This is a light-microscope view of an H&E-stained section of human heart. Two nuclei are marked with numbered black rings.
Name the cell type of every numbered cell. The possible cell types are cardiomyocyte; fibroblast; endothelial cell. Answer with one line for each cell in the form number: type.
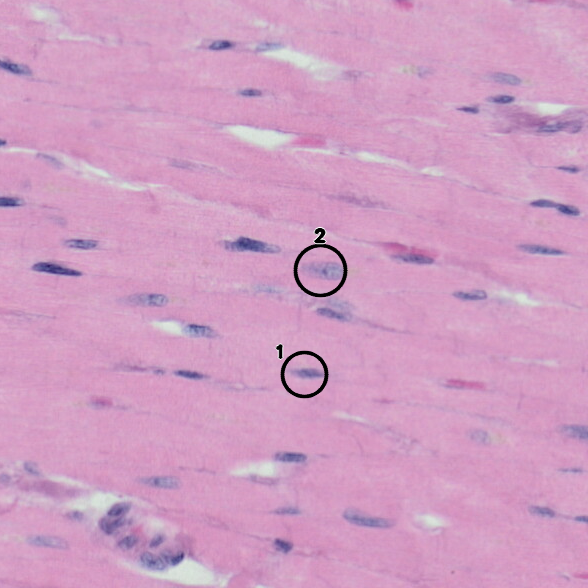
1: endothelial cell
2: cardiomyocyte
